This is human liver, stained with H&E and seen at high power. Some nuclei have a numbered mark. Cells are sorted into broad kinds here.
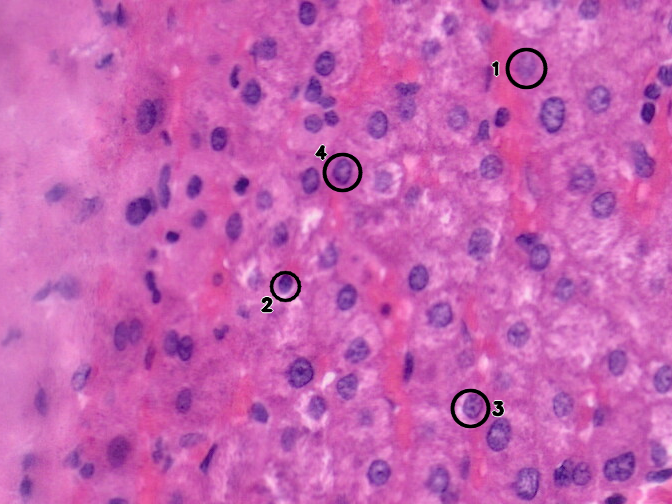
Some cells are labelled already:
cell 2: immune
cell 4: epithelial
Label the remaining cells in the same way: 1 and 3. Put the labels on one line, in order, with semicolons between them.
epithelial; epithelial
